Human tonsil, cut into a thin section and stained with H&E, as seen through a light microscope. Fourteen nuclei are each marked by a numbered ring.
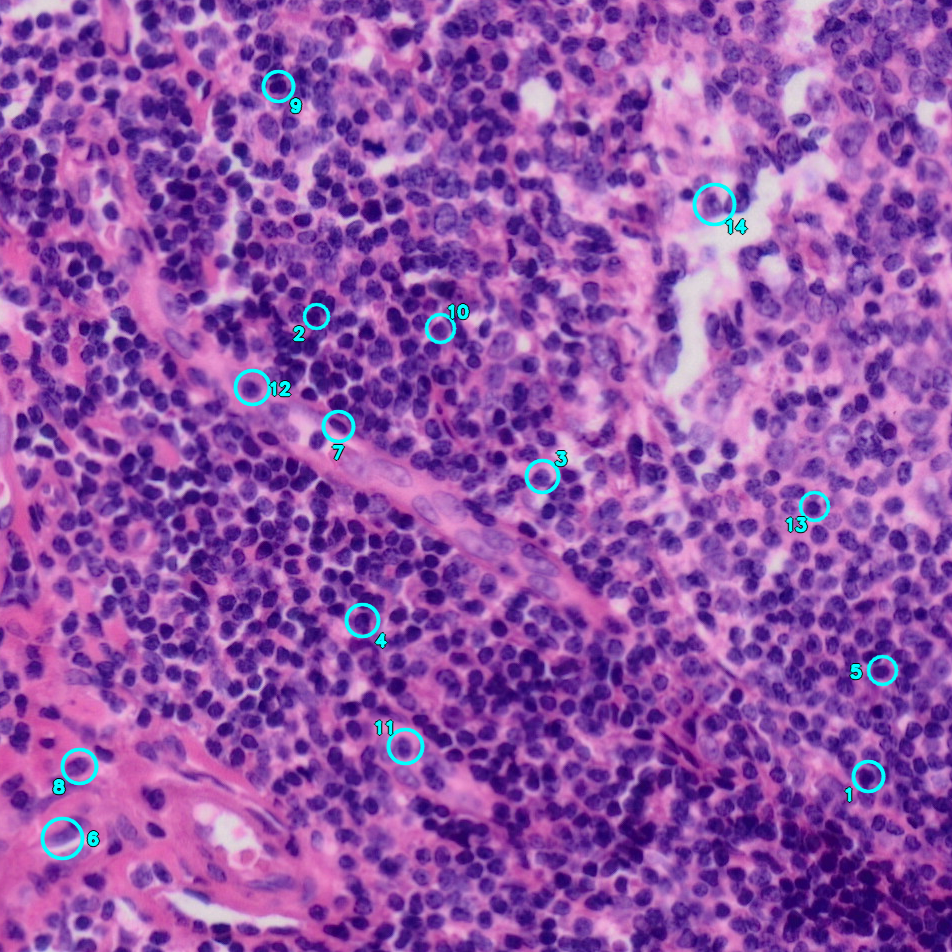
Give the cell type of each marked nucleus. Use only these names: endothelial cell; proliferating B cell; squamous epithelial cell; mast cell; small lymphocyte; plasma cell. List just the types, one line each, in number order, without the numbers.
small lymphocyte
small lymphocyte
small lymphocyte
small lymphocyte
small lymphocyte
endothelial cell
endothelial cell
mast cell
small lymphocyte
small lymphocyte
endothelial cell
endothelial cell
small lymphocyte
proliferating B cell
